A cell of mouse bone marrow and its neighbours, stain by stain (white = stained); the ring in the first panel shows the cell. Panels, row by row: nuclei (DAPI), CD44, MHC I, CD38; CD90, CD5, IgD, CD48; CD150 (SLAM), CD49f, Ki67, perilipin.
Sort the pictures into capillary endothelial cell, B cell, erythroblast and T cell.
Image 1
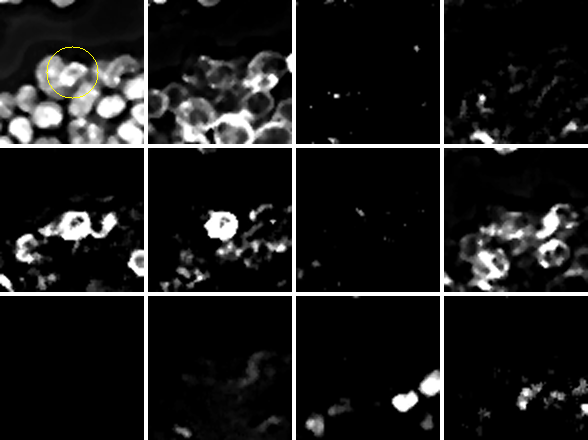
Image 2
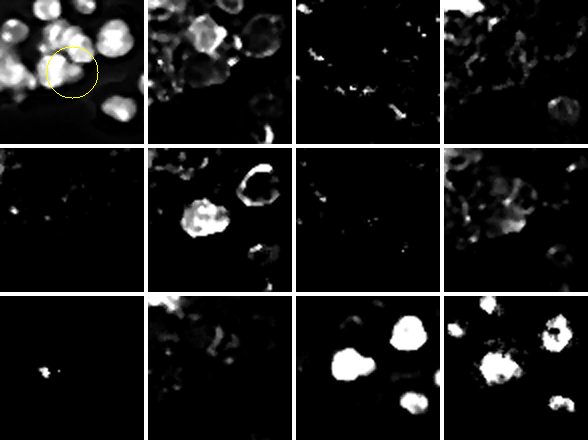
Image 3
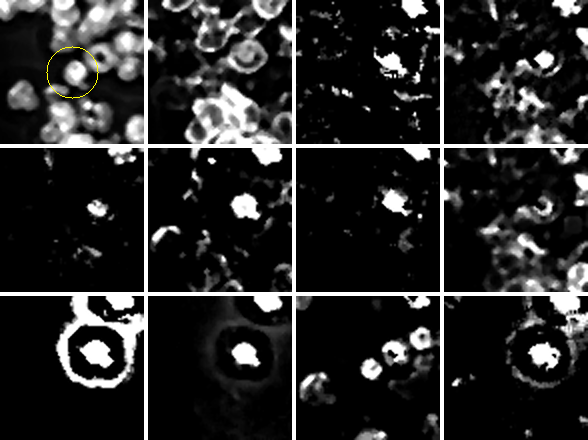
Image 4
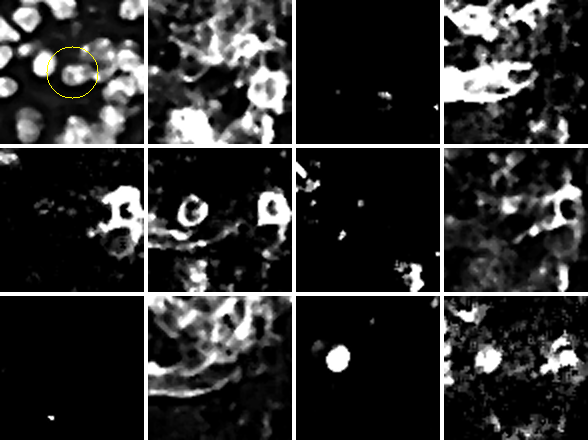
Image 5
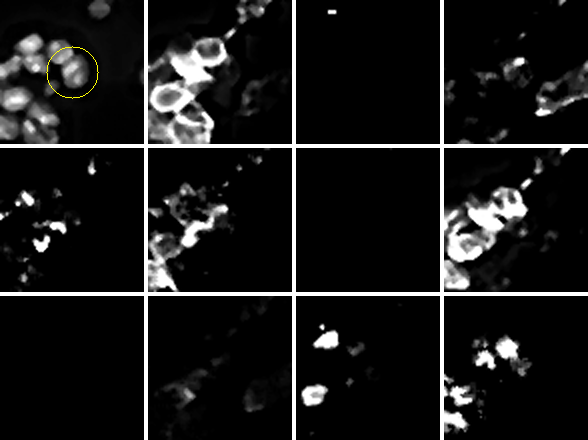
T cells: 1
B cells: 2, 5
Erythroblasts: 3
Capillary endothelial cells: 4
